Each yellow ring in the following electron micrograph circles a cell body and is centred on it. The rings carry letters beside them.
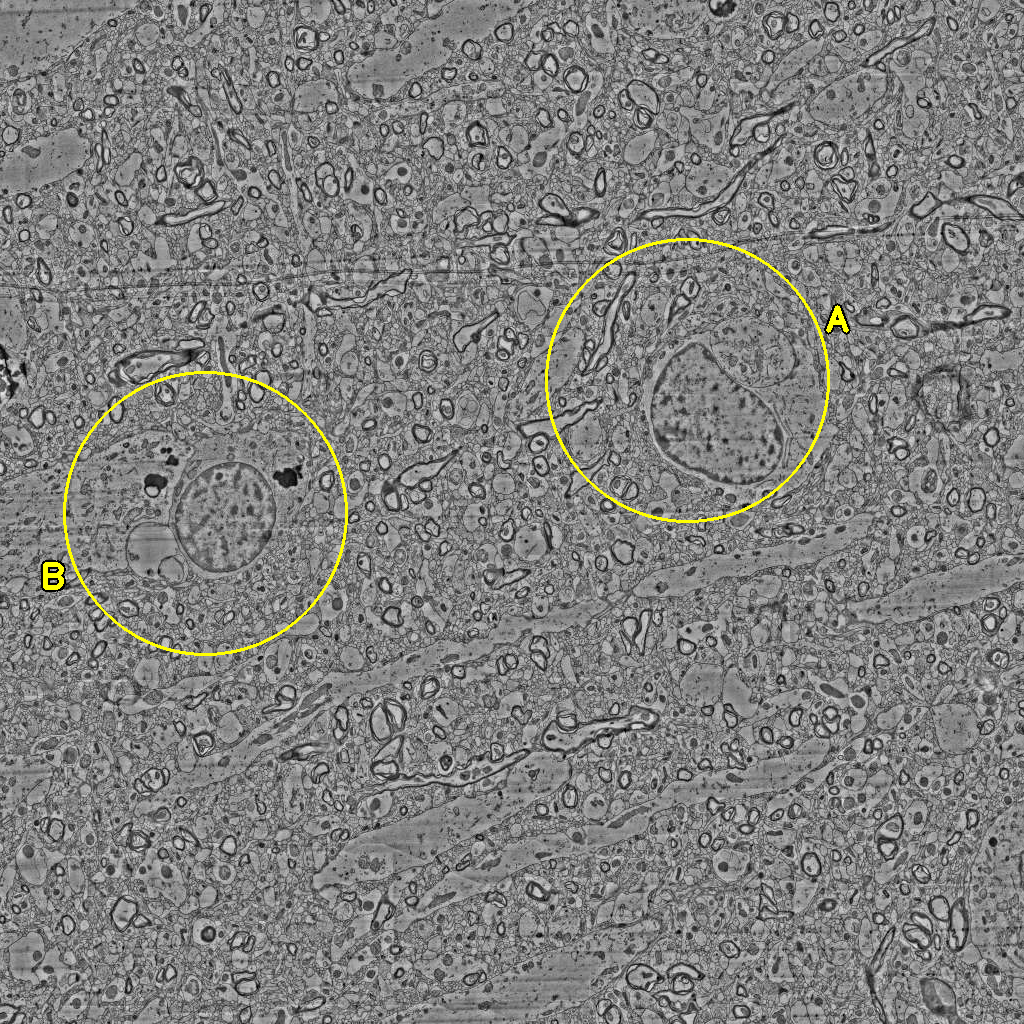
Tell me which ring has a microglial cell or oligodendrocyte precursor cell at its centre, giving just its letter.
A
